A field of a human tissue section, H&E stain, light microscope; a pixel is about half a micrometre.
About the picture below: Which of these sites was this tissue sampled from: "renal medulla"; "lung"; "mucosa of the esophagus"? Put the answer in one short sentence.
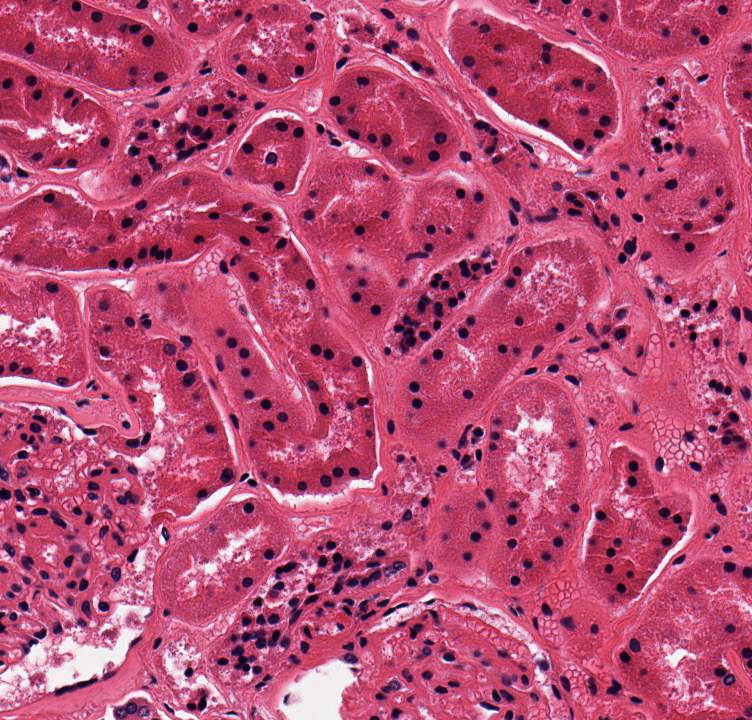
The site this tissue was sampled from is the renal medulla.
